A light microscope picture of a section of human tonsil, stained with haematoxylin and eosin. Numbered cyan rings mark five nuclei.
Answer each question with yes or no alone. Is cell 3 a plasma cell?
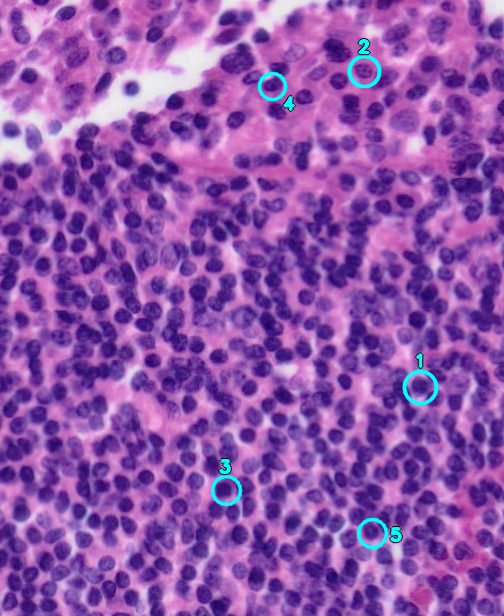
no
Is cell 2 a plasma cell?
yes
